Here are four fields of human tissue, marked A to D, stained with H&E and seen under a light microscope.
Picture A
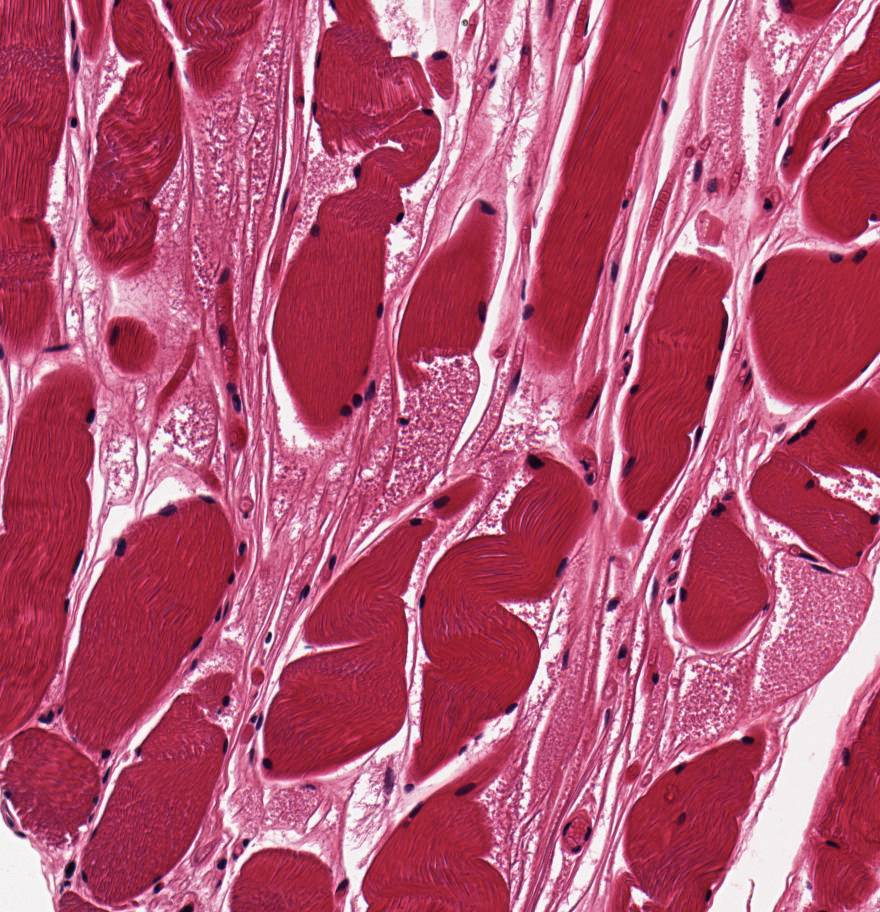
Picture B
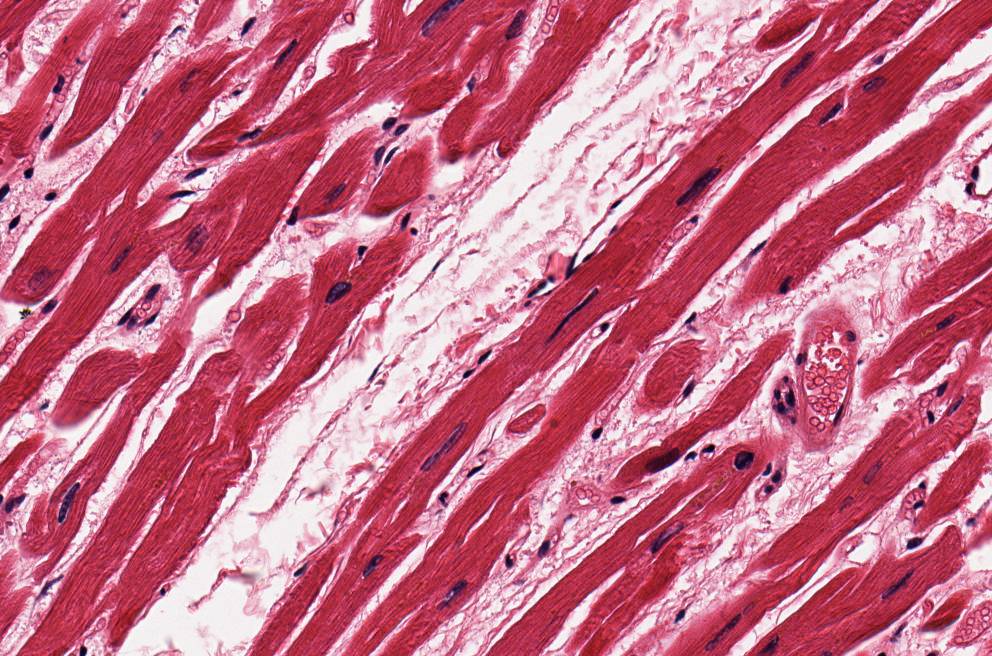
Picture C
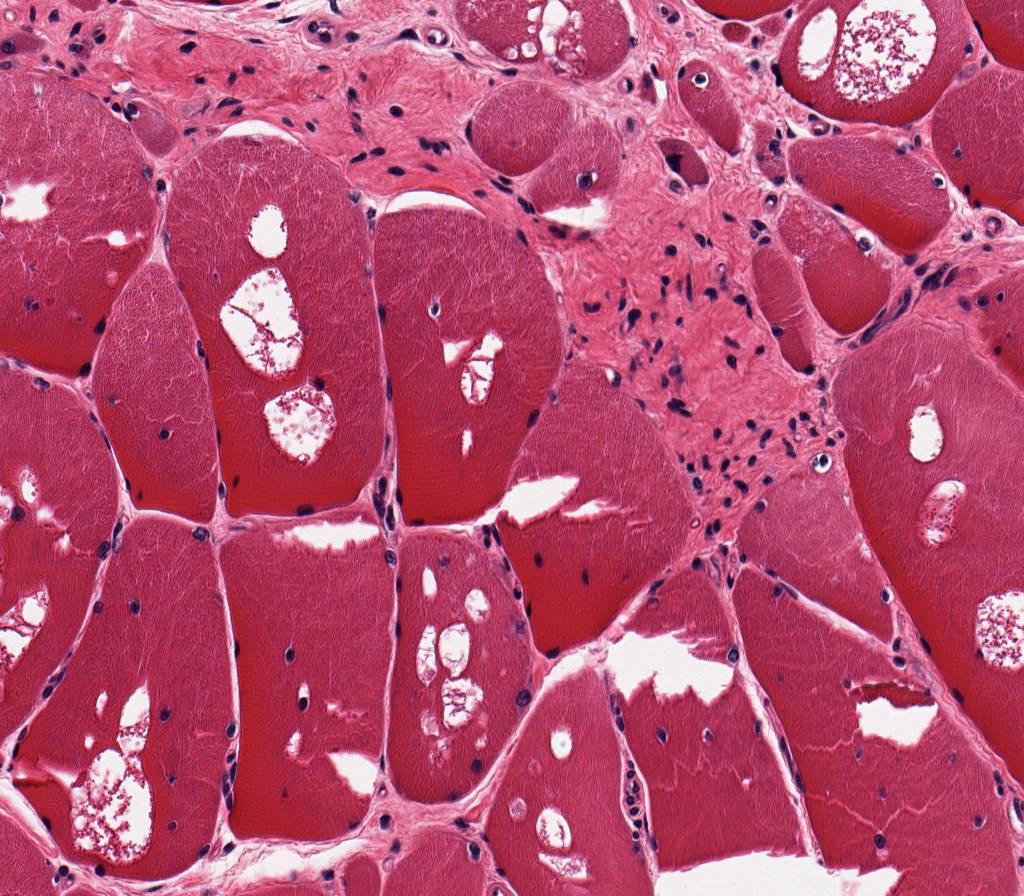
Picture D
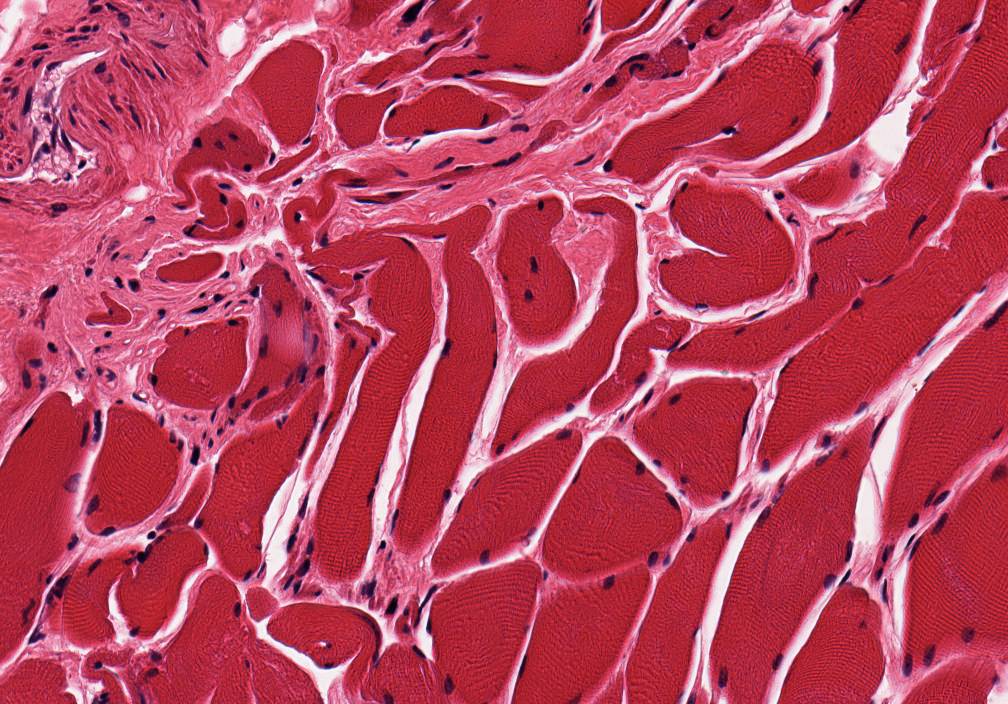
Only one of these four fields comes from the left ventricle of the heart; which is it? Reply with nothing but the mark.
B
